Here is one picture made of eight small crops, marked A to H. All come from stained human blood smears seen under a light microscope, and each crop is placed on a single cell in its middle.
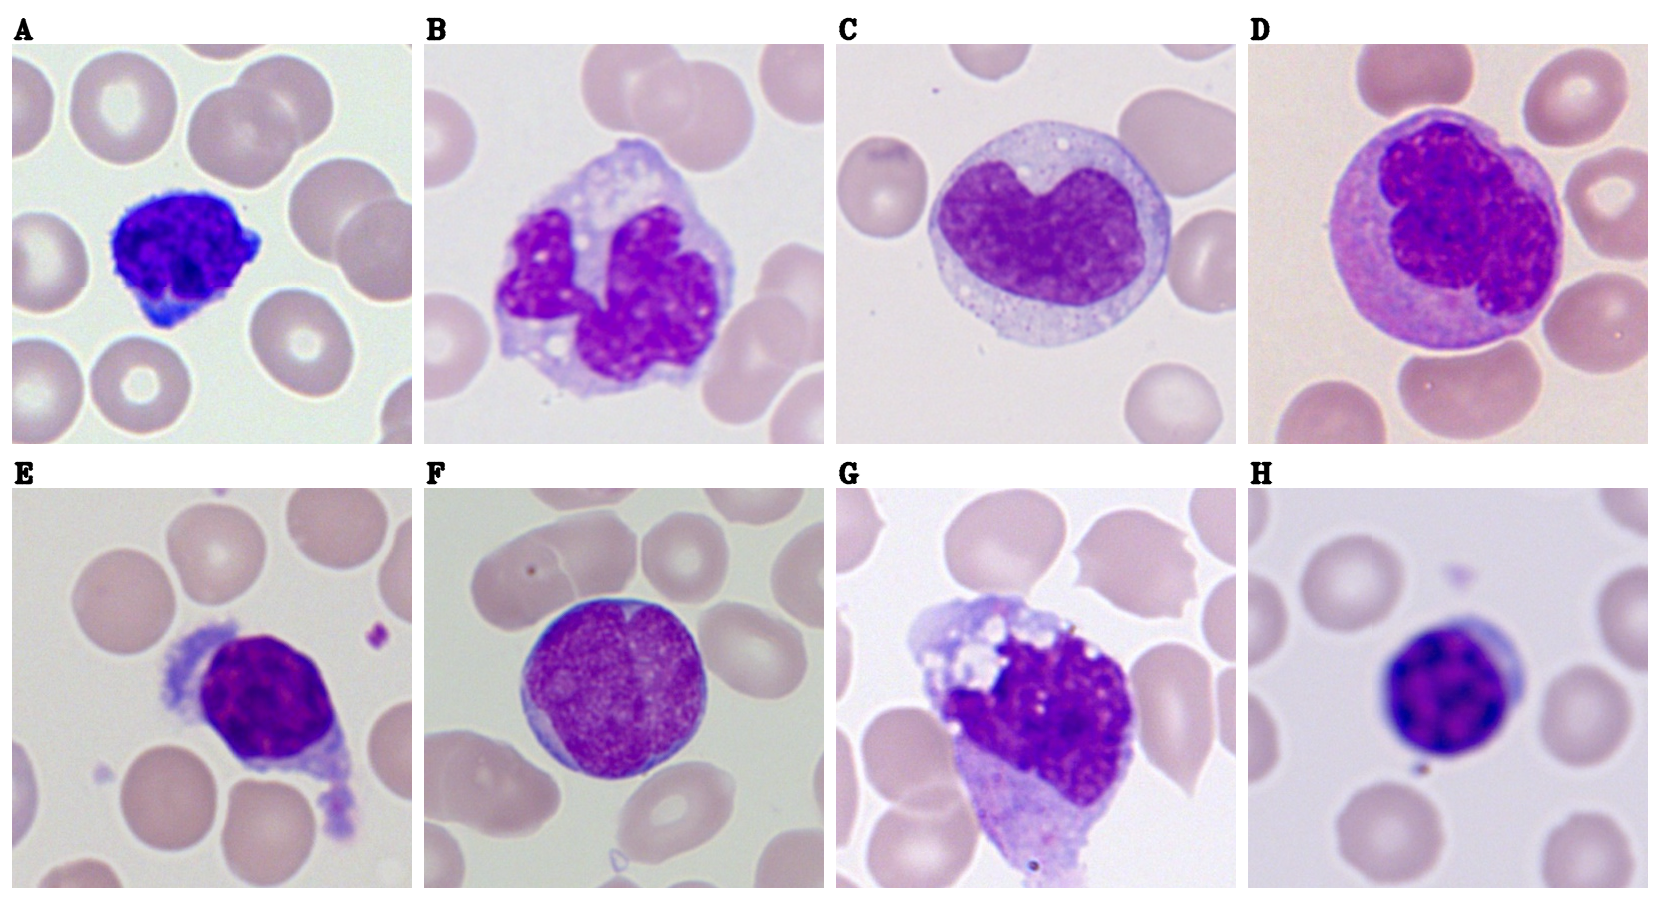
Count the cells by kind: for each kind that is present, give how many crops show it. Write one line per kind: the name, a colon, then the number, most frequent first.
monocyte: 4
lymphocyte: 3
myeloblast: 1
